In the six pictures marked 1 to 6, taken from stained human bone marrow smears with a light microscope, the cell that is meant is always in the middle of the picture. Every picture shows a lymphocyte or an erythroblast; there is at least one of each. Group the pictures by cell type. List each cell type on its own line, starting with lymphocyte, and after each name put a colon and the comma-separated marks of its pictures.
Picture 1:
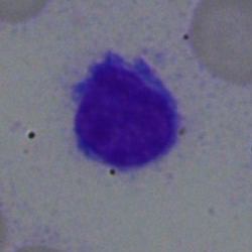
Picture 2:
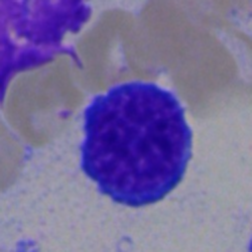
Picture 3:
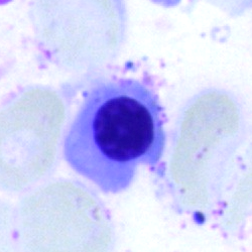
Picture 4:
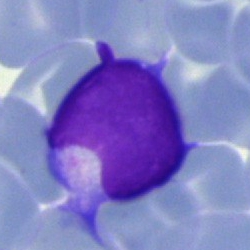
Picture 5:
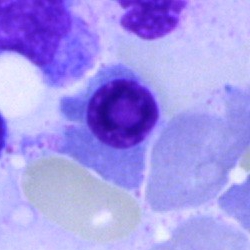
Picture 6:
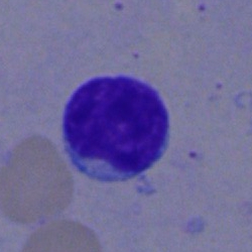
lymphocyte: 1, 2, 4, 6
erythroblast: 3, 5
